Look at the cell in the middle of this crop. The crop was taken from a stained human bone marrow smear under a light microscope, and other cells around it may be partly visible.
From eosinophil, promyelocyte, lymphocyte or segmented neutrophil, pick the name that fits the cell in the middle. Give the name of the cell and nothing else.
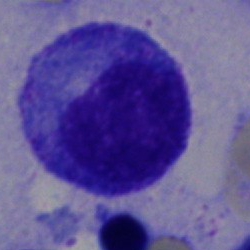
promyelocyte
